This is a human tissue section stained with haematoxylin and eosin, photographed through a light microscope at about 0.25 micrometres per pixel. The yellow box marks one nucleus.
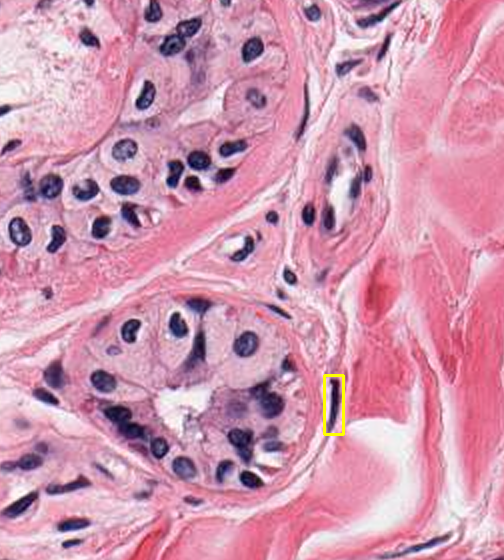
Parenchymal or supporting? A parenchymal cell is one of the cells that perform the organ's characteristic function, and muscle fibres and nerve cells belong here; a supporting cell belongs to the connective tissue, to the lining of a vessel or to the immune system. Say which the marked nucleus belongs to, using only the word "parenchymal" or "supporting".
supporting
